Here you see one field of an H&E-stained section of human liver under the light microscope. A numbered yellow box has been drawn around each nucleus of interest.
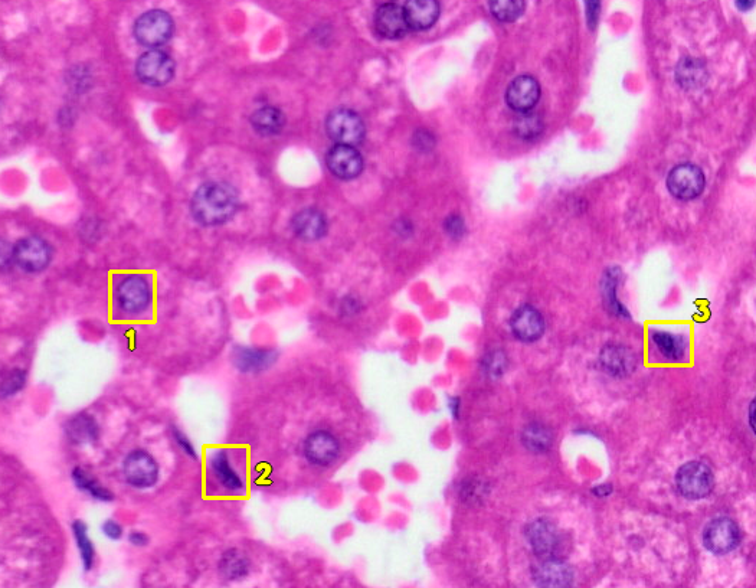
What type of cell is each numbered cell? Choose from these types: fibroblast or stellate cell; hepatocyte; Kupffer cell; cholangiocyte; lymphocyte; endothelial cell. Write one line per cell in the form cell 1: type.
cell 1: hepatocyte
cell 2: fibroblast or stellate cell
cell 3: fibroblast or stellate cell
